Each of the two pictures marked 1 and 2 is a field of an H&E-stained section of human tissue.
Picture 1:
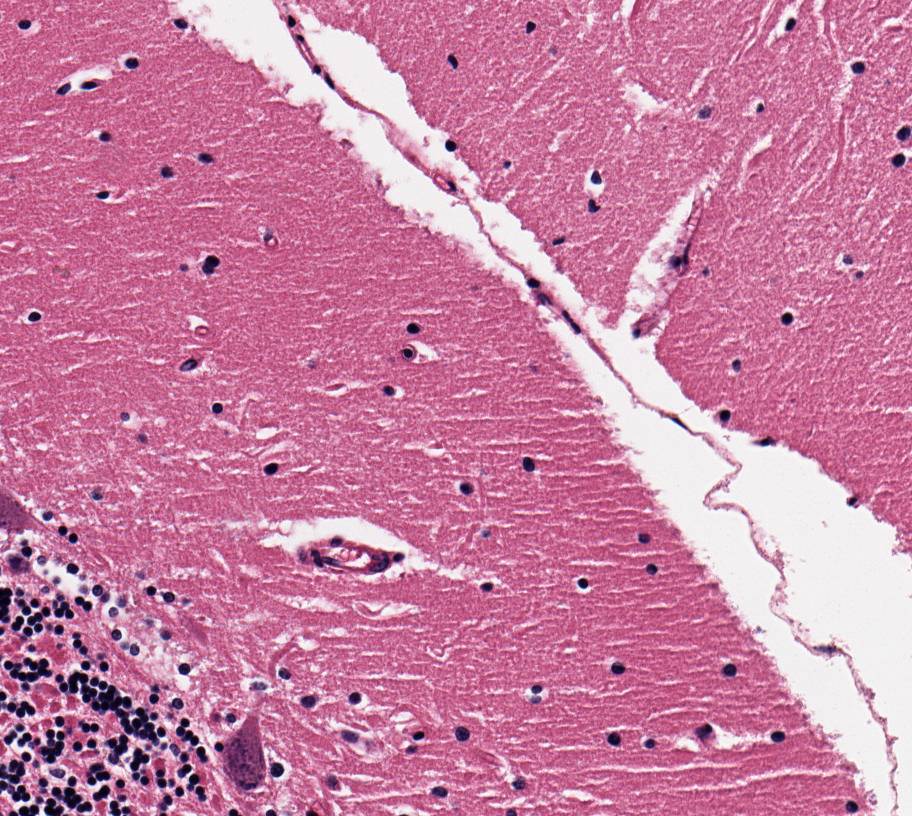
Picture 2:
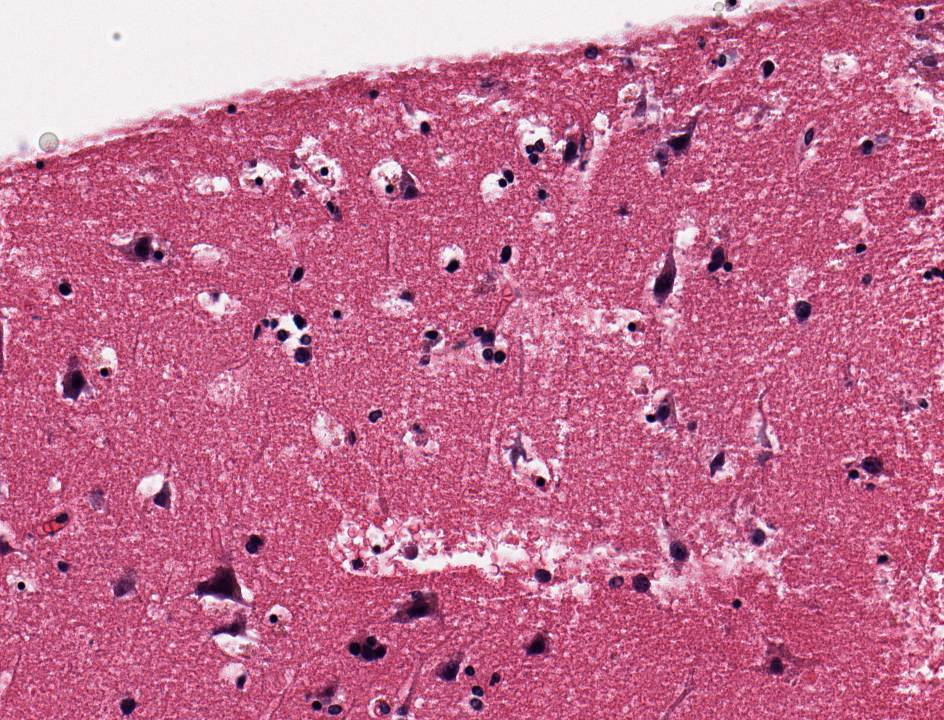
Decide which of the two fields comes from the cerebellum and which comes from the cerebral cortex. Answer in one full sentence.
Picture 2 comes from the cerebral cortex, while picture 1 comes from the cerebellum.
